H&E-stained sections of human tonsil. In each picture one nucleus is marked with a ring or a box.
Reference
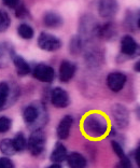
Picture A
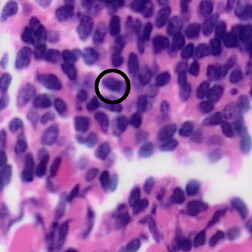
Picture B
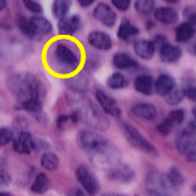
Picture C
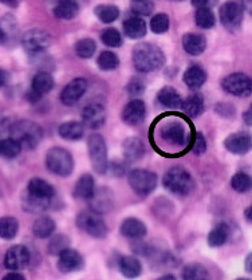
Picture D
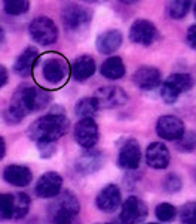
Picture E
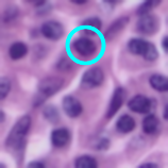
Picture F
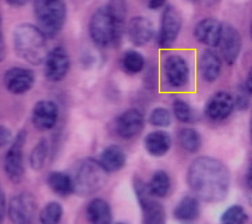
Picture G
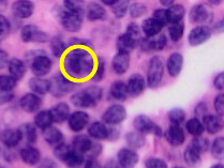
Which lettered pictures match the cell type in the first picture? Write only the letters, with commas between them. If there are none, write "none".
B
